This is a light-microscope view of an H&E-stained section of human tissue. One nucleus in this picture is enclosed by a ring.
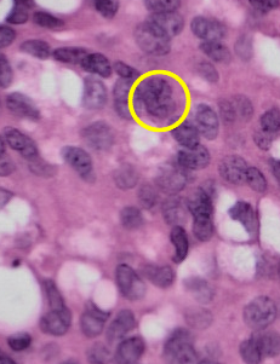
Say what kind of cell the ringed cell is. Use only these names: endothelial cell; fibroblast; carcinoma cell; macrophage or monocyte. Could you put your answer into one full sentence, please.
By cell type, the ringed cell is a carcinoma cell.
